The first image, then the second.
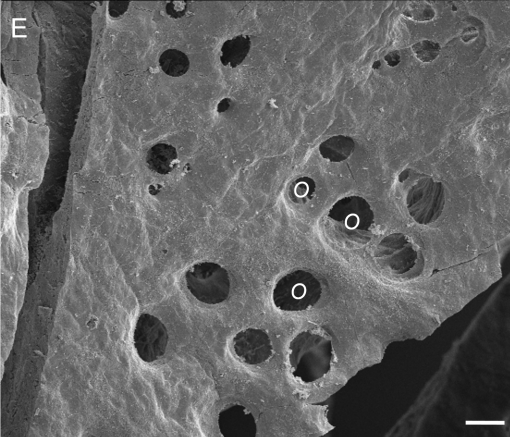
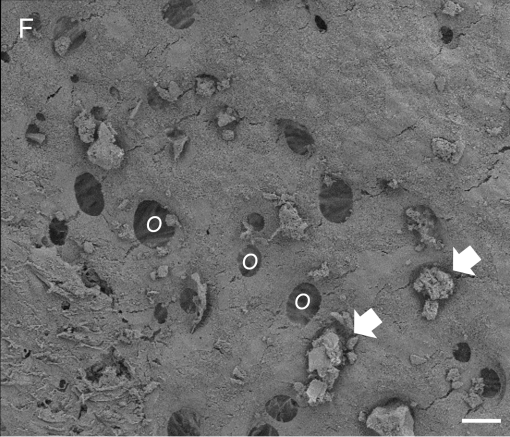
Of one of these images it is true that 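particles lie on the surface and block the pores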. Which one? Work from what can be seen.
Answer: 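Second image: irregular clumps are scattered over the surface and sit in several round pores. First image: the round pores are open and the surface is largely free of clumps. That points to this answer: the second image.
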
